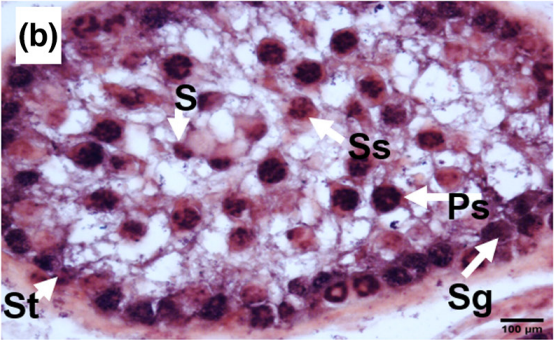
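This is a section of testis showing a tubule packed with germ cells at several stages, with supporting cells at its rim. Further in are larger round cells whose nuclei are stained deep purple-brown, set in a pale, bubbly-looking cytoplasm with many clear spaces between cells. Toward the centre the nuclei become smaller and more scattered among the pale, vacuolated material.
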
